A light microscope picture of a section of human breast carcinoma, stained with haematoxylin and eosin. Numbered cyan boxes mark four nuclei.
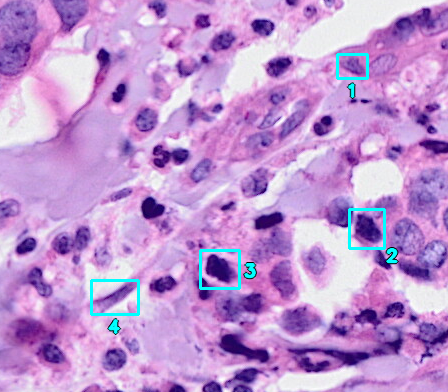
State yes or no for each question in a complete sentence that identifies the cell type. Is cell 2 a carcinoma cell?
Yes, the cell numbered 2 in this tissue is a carcinoma cell.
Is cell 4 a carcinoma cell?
No, at number 4 sits a fibroblast, not a carcinoma cell.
